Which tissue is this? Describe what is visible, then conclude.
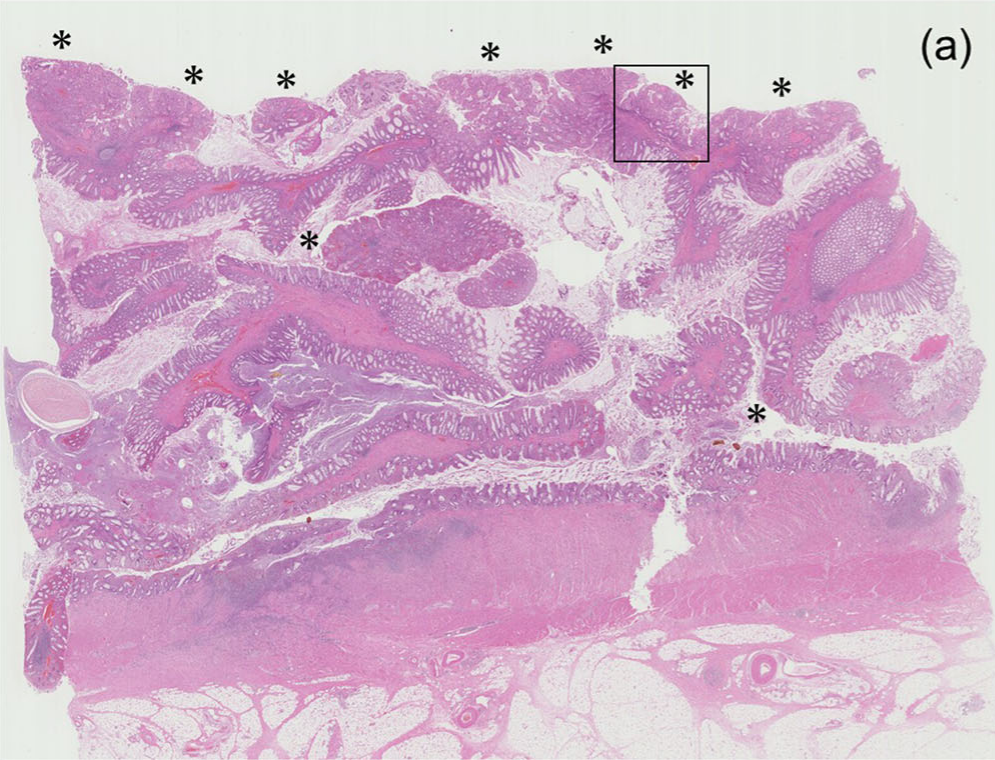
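Many elongated, finger-like mucosal projections cut at various angles. Each projection has a core of submucosal tissue covered by colonic mucosa with crypts. The projections rest on a continuous muscular wall. On this evidence: filiform polyposis.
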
